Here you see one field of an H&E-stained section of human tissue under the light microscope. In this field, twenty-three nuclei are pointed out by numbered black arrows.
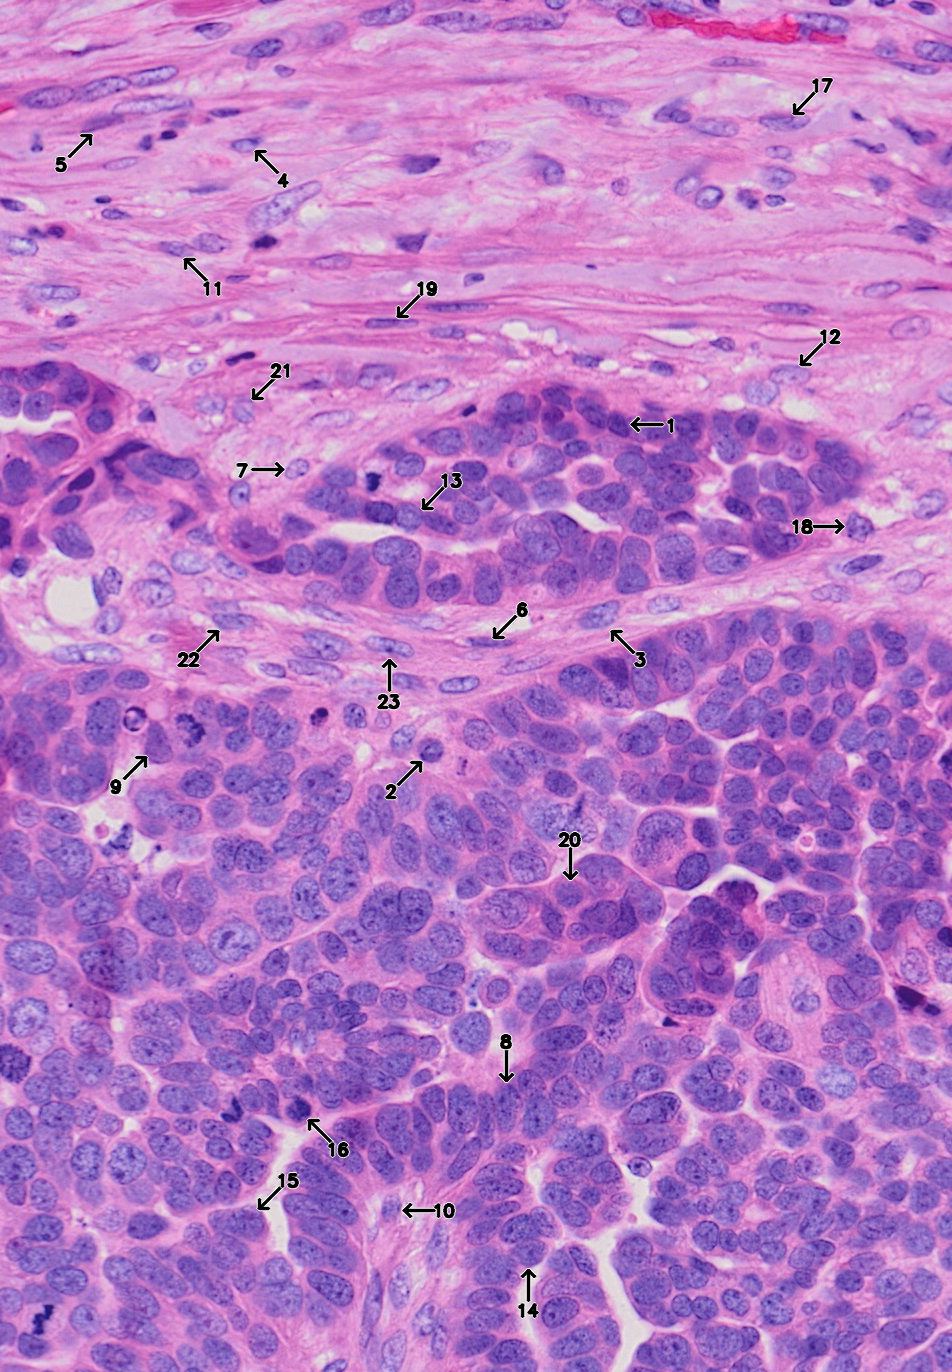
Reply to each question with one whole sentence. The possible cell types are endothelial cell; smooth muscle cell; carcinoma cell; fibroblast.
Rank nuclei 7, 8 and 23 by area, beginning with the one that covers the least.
Smallest first, the nuclei run 7, 23, 8.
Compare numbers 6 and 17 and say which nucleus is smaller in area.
Nucleus 6 covers less area, with nucleus 17 about 2 times as large.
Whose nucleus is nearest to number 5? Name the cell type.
The nearest nucleus to number 5 belongs to an endothelial cell.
